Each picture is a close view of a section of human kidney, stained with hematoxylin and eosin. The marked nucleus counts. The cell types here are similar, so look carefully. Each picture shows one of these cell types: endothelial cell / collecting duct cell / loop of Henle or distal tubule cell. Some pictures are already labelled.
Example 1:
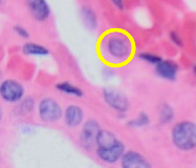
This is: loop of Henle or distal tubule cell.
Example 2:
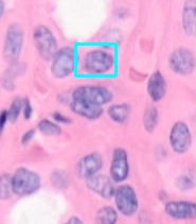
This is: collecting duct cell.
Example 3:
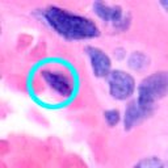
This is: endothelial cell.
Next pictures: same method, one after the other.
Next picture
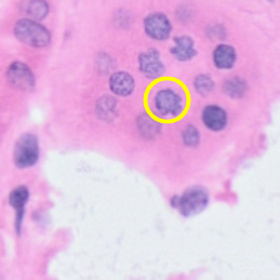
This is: loop of Henle or distal tubule cell.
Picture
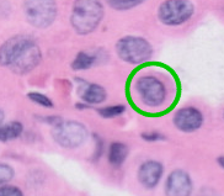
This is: loop of Henle or distal tubule cell.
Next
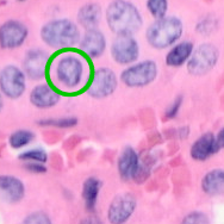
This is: collecting duct cell.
